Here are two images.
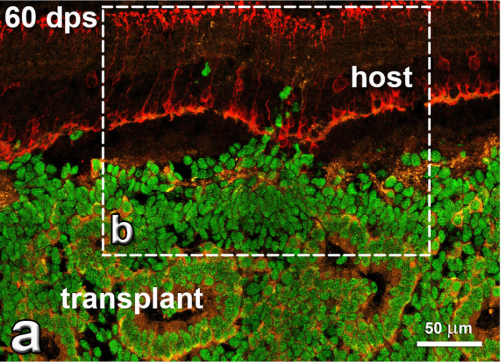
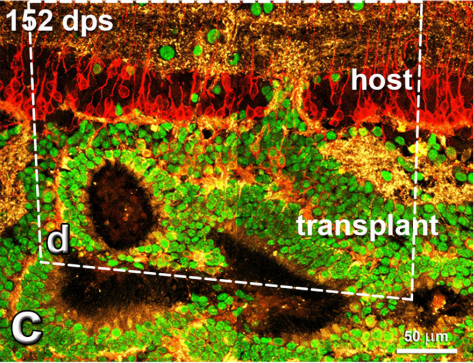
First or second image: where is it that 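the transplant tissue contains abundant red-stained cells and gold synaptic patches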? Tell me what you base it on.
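Second image: gold patches and red-stained cells are visible within the green transplant. First image: the transplant is mostly green with only faint red and gold. So: the second image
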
